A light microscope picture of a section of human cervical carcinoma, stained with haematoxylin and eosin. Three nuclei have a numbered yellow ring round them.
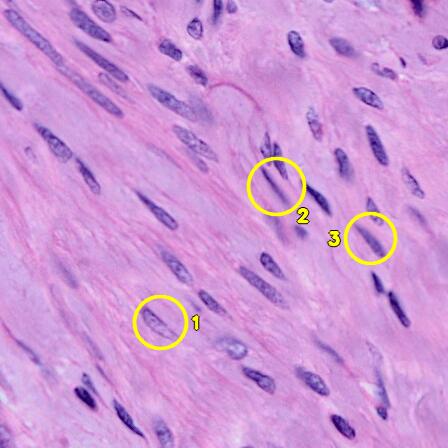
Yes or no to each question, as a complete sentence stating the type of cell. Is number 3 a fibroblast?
Yes, the number 3 belongs to a fibroblast.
